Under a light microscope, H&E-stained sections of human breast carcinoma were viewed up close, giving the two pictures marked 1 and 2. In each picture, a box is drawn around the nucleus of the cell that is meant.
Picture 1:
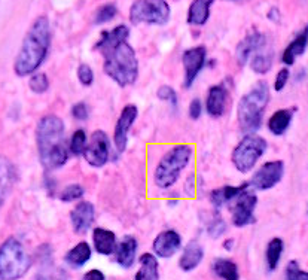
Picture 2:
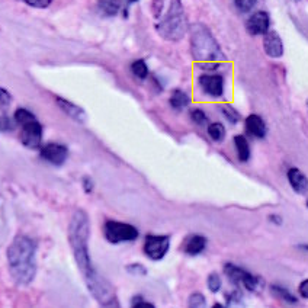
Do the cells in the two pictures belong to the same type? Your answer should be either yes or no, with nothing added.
no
